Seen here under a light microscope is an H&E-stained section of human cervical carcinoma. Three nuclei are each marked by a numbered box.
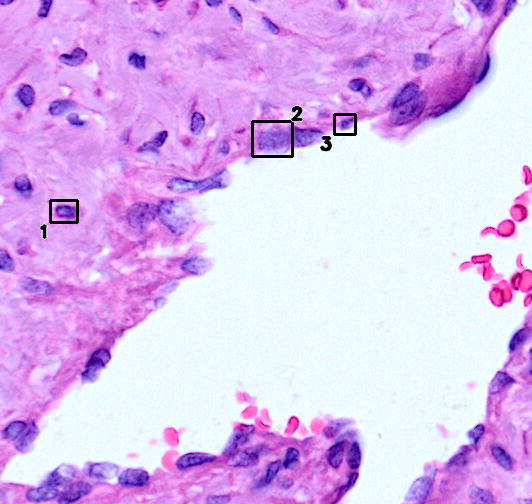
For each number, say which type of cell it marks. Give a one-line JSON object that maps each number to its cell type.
{"1": "smooth muscle cell", "2": "endothelial cell", "3": "endothelial cell"}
